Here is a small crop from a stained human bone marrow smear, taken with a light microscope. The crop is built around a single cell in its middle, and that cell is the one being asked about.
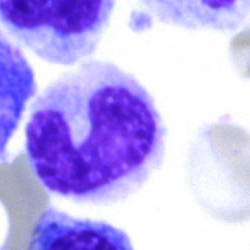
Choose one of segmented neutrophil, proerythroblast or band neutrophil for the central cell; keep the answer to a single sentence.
In the central position of this crop, the cell is a band neutrophil.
